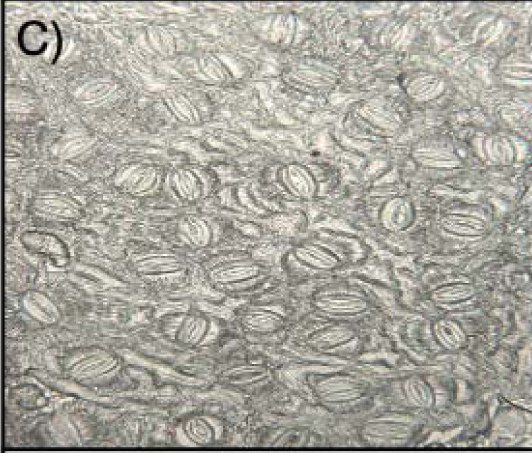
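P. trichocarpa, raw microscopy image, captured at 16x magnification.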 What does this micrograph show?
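This greyscale image shows a leaf surface densely set with stomata. Each stoma is an elliptical pore bordered by a pair of curved guard cells.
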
